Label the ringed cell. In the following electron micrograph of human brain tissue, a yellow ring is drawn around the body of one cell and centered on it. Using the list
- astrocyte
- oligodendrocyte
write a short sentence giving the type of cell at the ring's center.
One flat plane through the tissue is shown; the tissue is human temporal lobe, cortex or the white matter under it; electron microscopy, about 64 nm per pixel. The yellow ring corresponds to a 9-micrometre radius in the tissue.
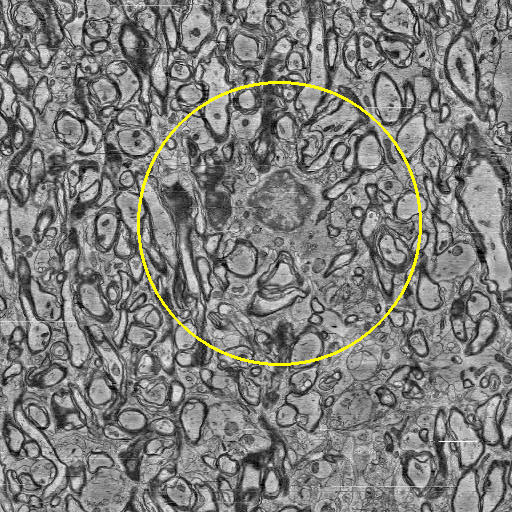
The cell body at the ring's center is that of an oligodendrocyte.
